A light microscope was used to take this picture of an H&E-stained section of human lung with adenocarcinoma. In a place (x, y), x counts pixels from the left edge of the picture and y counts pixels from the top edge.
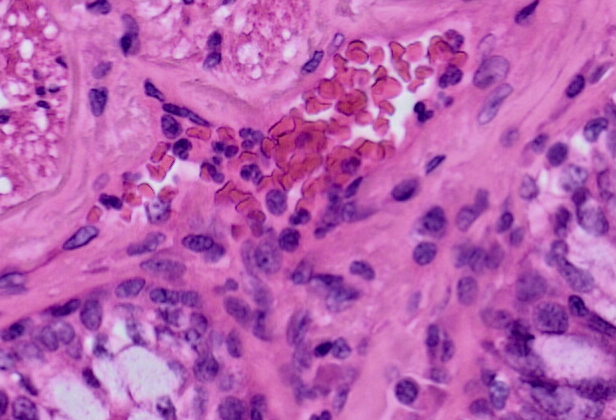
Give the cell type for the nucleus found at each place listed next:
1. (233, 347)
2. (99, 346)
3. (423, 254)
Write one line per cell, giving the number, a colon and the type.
1: ciliated epithelial cell
2: ciliated epithelial cell
3: mast cell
